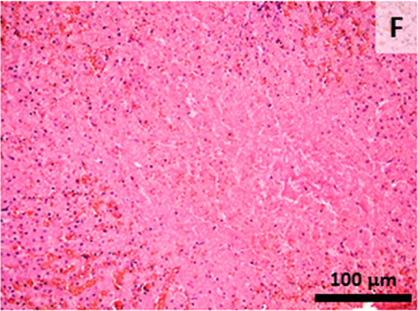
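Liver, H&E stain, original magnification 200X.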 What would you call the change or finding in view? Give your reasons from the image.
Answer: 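A large central field of pale pink tissue with very few nuclei. Red blood cell extravasation around the edges of this pale field.
Conclusion: acute coagulative necrosis with loss of nuclei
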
